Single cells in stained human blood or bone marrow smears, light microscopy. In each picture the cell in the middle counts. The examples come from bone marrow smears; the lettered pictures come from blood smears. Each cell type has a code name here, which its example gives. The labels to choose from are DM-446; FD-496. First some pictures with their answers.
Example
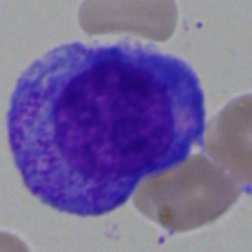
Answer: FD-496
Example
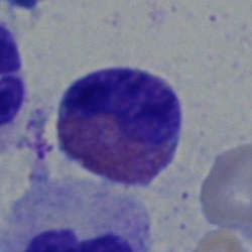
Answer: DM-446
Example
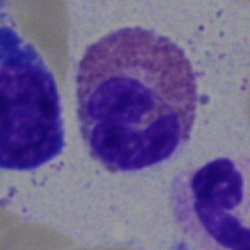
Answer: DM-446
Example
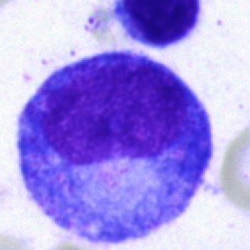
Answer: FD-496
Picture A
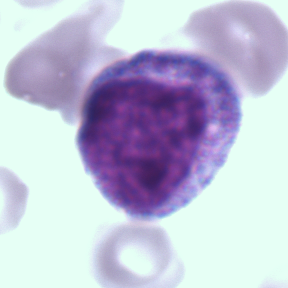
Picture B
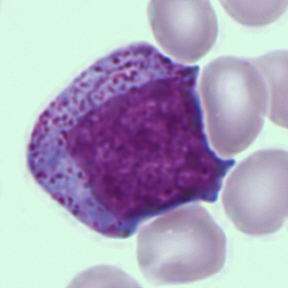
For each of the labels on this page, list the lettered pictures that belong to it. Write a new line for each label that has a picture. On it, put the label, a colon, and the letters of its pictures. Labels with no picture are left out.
FD-496: A, B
